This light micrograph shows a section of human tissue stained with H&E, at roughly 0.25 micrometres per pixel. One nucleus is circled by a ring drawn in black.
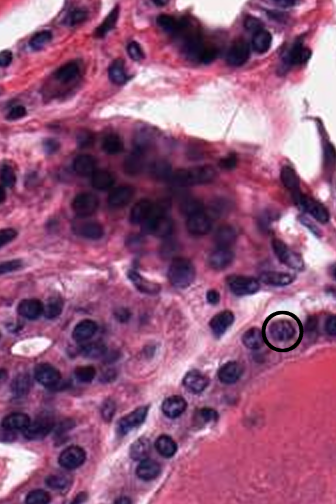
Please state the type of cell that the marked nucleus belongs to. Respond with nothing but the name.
thyroid follicular cell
